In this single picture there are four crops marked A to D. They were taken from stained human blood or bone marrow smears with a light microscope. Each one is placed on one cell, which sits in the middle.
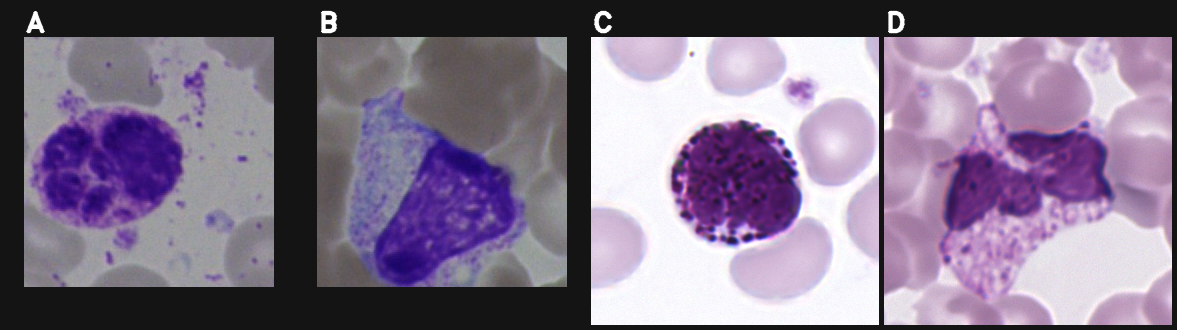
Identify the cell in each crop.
A: basophil
B: myelocyte
C: basophil
D: basophil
